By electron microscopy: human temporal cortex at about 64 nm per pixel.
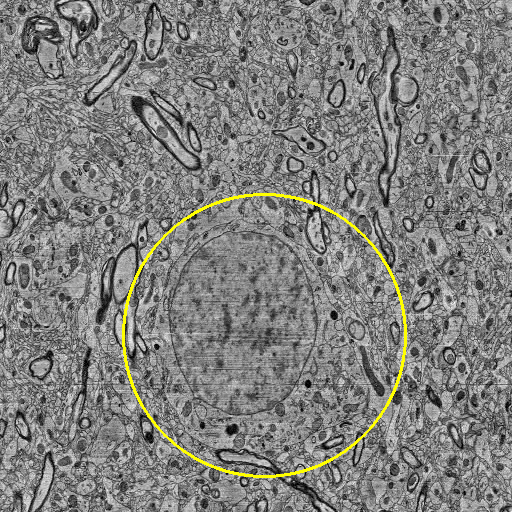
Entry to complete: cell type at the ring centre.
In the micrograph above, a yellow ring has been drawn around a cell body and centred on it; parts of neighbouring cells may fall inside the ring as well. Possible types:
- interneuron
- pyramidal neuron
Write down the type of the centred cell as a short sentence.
The ring is centred on a pyramidal neuron.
